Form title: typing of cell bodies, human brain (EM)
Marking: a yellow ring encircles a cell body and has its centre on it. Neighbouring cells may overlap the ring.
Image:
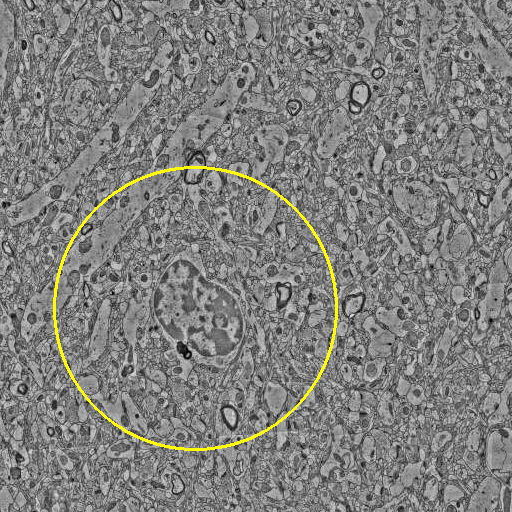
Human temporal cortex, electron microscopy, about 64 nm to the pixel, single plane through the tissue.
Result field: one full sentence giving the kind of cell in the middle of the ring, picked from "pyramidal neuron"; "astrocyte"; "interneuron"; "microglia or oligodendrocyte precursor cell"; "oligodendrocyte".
In the picture, the ring is centred on a microglial cell or oligodendrocyte precursor cell, whose cell body it encircles.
